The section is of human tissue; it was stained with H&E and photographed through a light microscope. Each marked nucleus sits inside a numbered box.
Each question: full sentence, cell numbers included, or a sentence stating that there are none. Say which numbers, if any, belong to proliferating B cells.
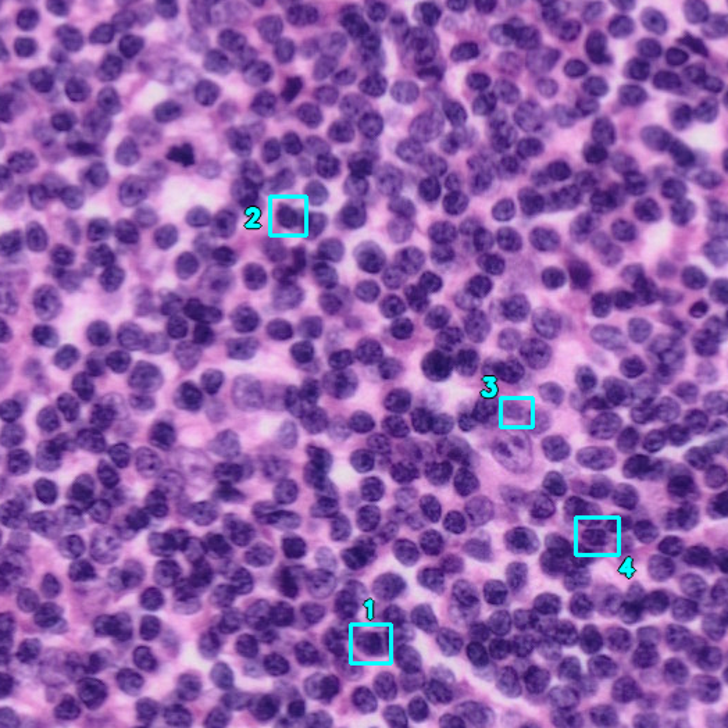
Response: cell 3 is a proliferating B cell, and no other numbered cell is.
